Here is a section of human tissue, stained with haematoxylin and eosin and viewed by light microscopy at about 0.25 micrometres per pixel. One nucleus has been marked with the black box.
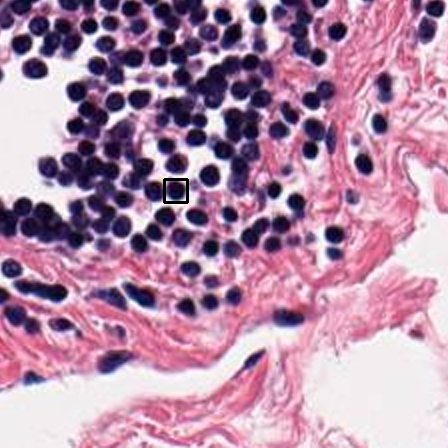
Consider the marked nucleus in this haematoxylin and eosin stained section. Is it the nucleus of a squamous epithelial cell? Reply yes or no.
no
